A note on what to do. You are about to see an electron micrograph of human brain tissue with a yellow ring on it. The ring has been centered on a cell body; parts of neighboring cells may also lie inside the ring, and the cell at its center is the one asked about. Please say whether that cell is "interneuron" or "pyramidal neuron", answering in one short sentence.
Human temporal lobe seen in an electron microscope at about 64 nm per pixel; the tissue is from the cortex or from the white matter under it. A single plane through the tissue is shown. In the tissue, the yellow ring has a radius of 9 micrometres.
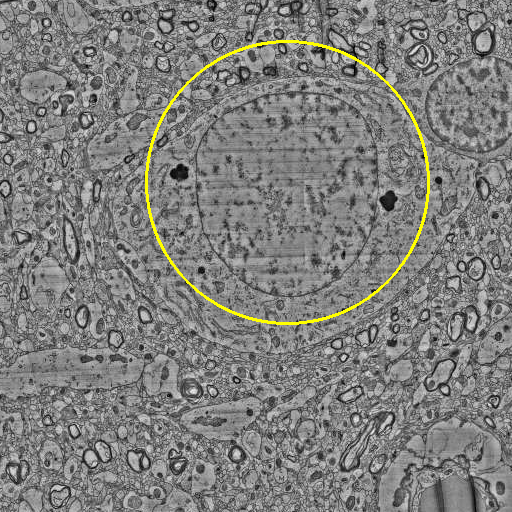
The yellow ring sits on a pyramidal neuron.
